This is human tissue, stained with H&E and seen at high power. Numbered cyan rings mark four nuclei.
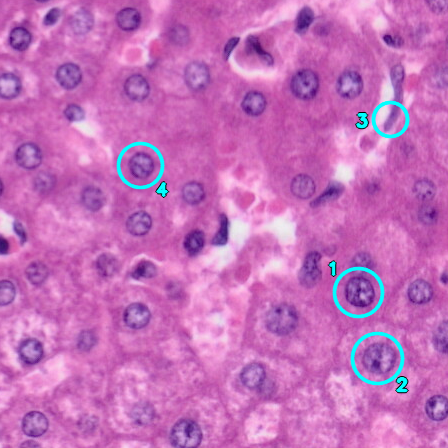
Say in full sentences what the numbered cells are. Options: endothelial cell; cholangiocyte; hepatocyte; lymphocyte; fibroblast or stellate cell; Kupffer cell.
Cell 1 is a hepatocyte, cell 2 is a hepatocyte, cell 3 is a Kupffer cell and cell 4 is a hepatocyte.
